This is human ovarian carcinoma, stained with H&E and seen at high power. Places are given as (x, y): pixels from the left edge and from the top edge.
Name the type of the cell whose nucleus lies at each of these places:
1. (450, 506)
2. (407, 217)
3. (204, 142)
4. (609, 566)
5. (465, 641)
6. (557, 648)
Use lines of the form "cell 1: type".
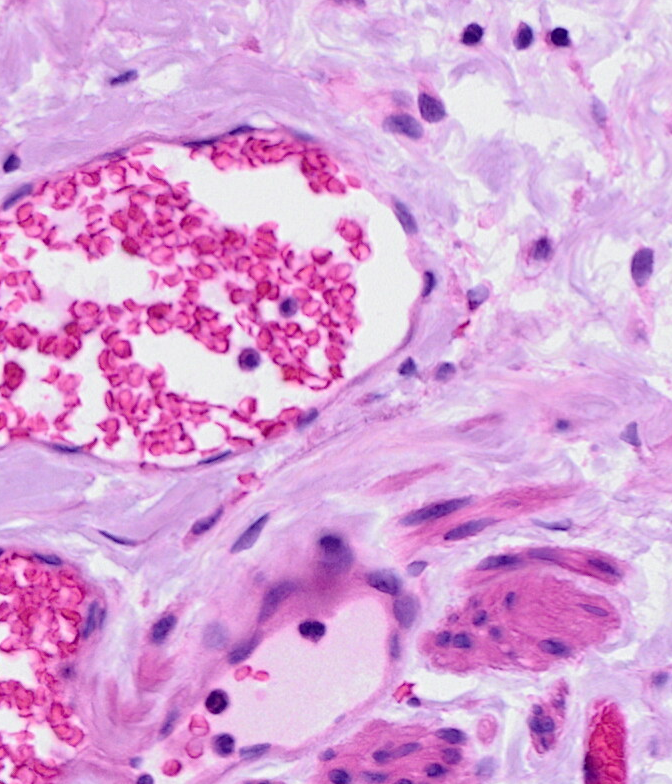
cell 1: smooth muscle cell
cell 2: endothelial cell
cell 3: endothelial cell
cell 4: smooth muscle cell
cell 5: smooth muscle cell
cell 6: smooth muscle cell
